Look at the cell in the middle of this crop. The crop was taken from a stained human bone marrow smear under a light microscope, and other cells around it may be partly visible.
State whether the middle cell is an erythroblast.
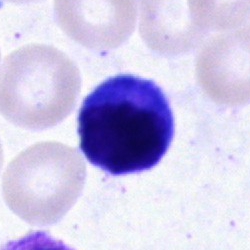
no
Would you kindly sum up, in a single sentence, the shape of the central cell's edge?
In short, the margin is smooth with no projections at all.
